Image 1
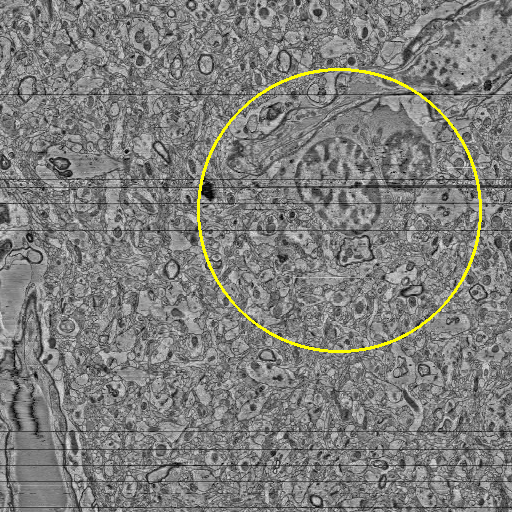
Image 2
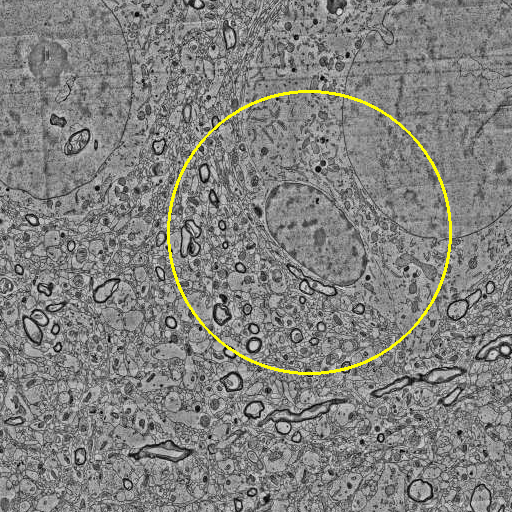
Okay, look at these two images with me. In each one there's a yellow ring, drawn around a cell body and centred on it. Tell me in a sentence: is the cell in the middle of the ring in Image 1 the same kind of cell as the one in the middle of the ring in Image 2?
No, they're two kinds of cell.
